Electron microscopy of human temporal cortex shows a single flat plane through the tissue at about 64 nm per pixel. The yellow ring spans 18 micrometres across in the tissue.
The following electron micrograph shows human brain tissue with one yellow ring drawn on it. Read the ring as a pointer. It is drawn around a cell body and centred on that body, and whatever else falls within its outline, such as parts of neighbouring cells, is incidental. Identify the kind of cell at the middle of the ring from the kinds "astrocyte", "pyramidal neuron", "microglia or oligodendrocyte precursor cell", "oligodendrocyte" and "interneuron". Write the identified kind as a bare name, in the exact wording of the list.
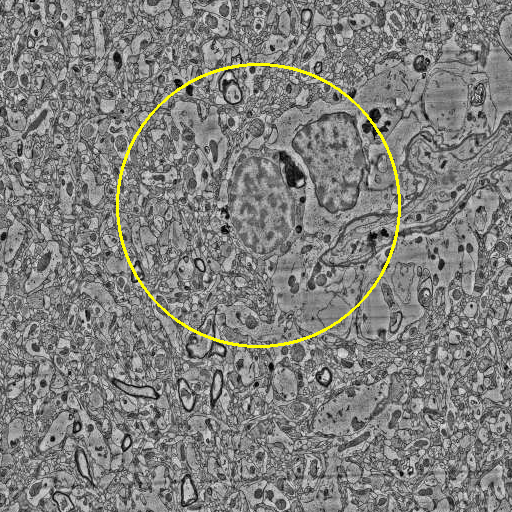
oligodendrocyte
